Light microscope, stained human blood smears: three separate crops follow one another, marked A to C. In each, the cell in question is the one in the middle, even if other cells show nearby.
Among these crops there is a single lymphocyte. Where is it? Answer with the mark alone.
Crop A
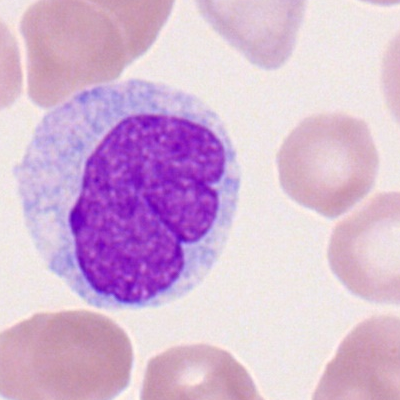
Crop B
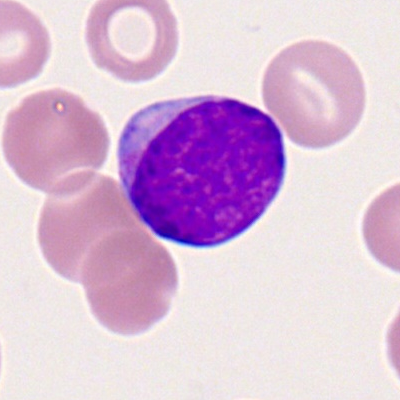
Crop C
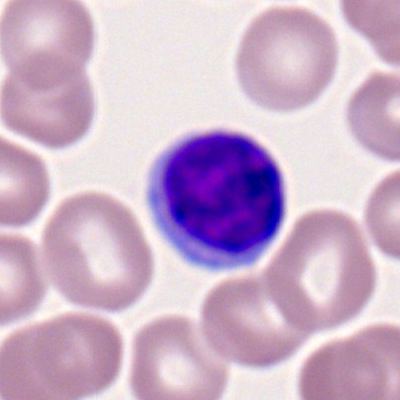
C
